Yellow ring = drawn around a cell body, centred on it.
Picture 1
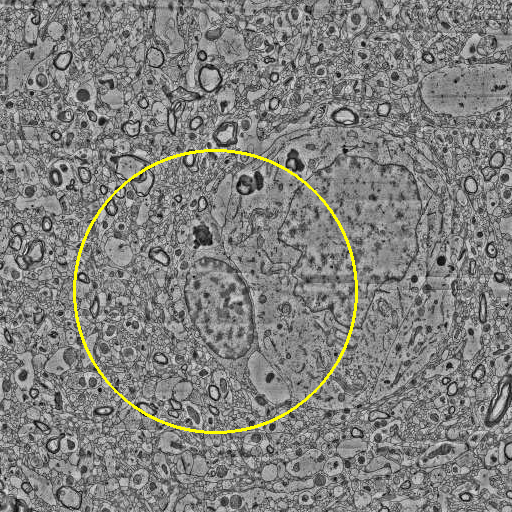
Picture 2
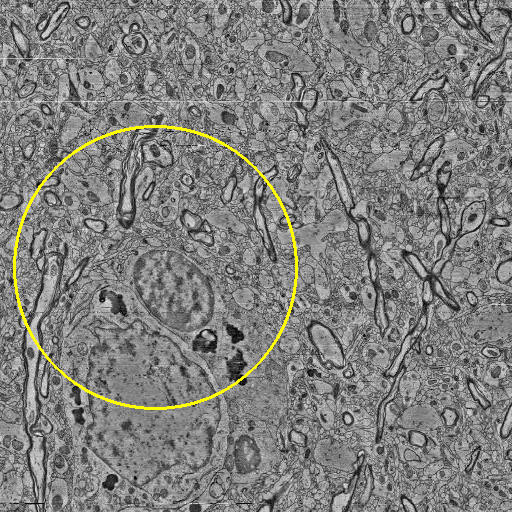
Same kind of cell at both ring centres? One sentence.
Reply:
Yes, they are the same kind of cell.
